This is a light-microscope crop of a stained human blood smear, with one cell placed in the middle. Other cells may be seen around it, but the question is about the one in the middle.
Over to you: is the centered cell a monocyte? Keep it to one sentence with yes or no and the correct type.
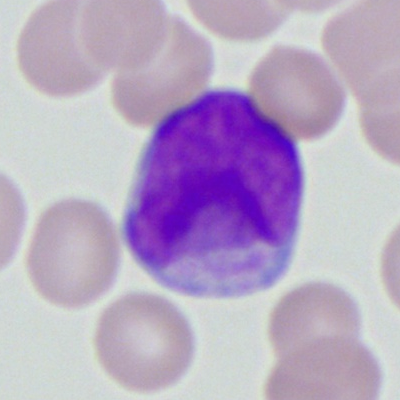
No, the cell at the centre is a blast, which rules out a monocyte.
